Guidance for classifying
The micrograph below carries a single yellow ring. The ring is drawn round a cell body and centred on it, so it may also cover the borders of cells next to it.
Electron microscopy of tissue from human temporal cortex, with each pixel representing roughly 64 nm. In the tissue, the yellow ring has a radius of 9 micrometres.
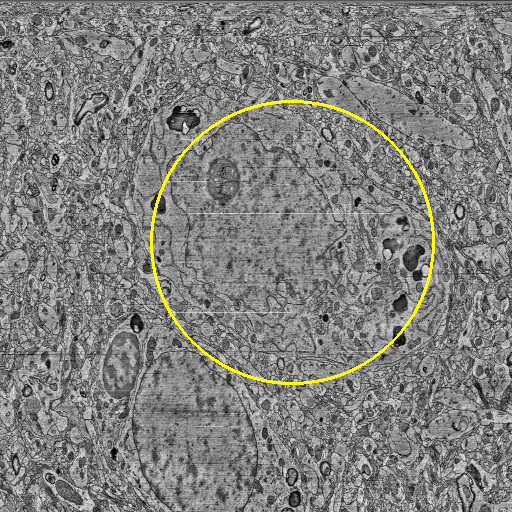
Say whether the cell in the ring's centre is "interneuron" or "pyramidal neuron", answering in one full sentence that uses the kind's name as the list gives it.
Within the yellow ring, an interneuron is the cell whose body sits at the centre.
